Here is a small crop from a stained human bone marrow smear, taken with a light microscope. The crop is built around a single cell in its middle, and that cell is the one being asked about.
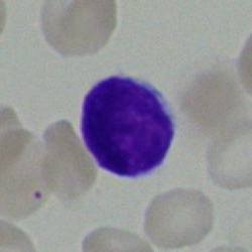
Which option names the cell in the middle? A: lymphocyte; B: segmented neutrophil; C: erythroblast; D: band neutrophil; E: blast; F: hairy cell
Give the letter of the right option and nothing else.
A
